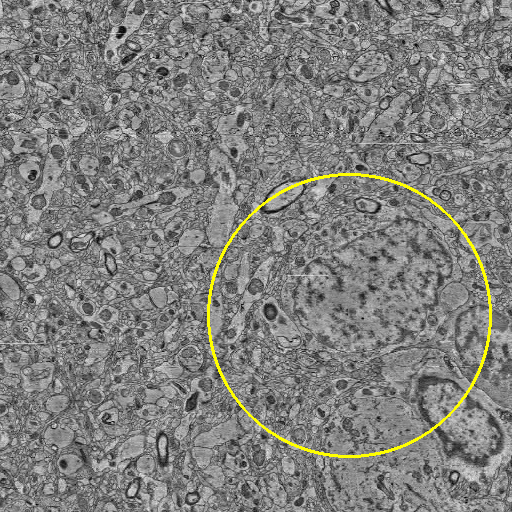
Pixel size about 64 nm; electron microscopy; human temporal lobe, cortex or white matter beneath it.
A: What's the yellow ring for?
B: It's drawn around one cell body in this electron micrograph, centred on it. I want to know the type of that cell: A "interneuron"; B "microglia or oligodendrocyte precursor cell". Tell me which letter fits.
A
